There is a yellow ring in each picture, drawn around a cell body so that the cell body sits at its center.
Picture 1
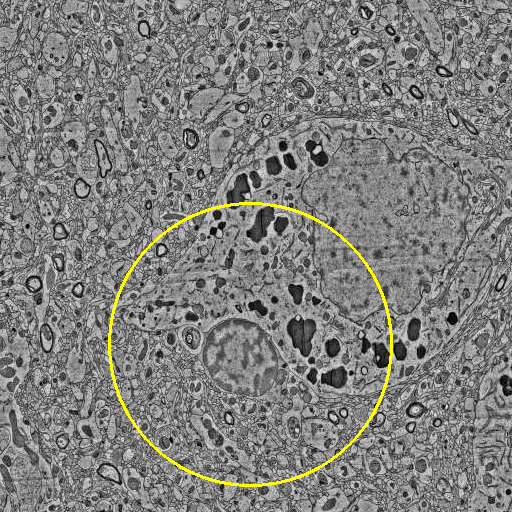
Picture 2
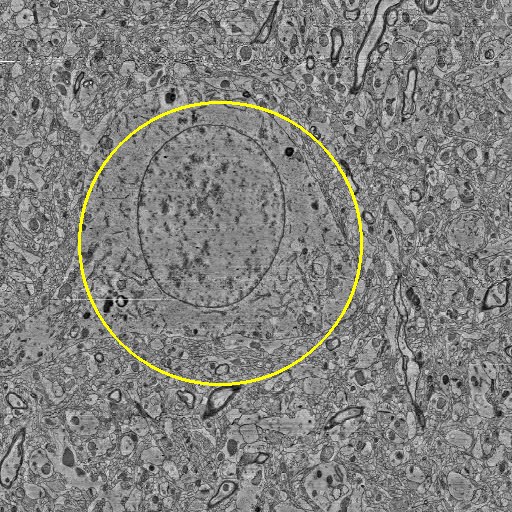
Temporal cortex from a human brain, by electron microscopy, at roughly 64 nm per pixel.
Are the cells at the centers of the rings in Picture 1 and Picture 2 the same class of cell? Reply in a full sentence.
No, the two cells are two classes of cell.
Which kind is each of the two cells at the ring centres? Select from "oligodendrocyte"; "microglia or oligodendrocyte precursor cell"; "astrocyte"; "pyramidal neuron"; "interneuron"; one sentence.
The cell at the centre of the ring is an oligodendrocyte in the first picture and a pyramidal neuron in the second.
